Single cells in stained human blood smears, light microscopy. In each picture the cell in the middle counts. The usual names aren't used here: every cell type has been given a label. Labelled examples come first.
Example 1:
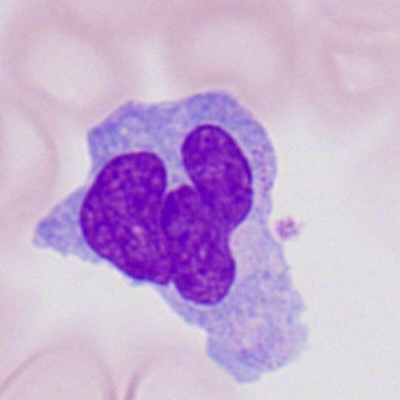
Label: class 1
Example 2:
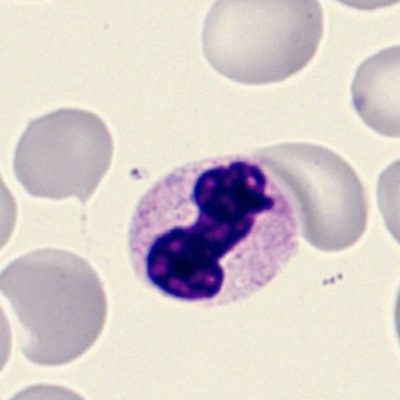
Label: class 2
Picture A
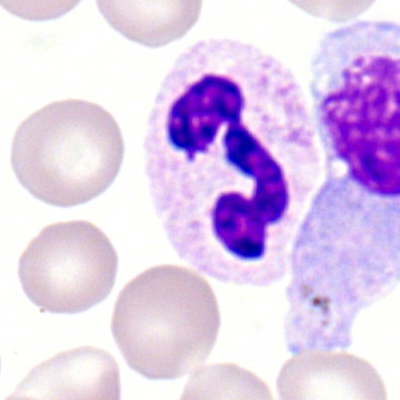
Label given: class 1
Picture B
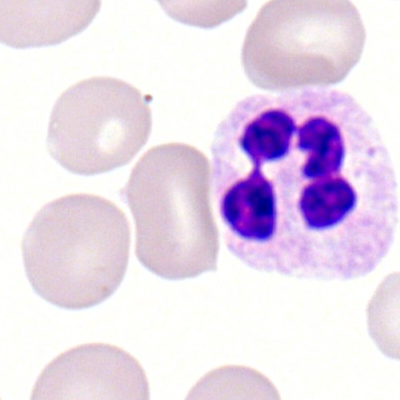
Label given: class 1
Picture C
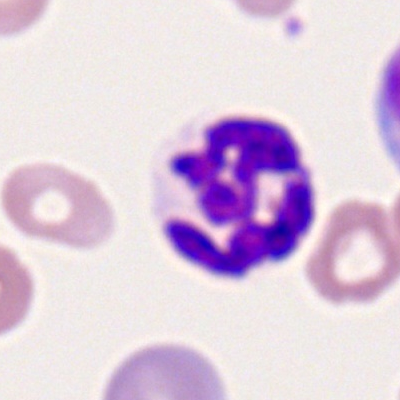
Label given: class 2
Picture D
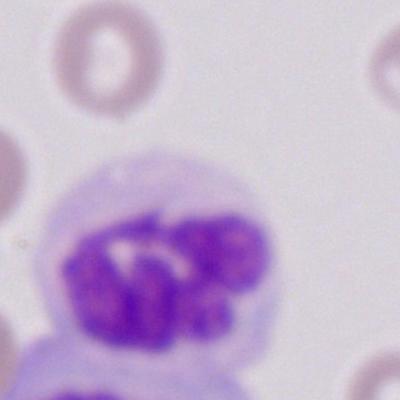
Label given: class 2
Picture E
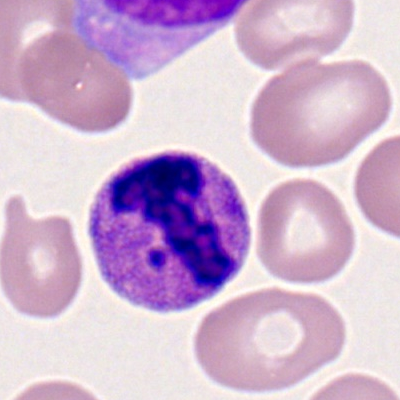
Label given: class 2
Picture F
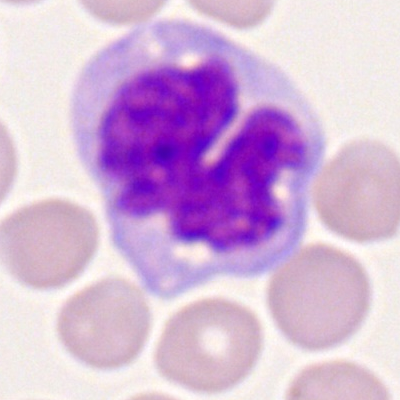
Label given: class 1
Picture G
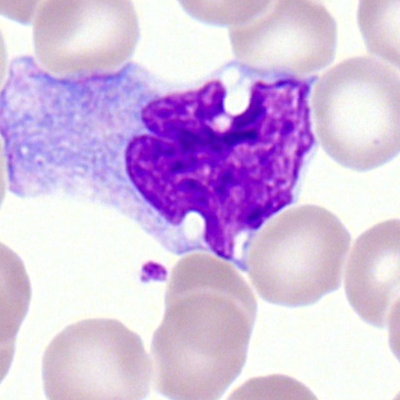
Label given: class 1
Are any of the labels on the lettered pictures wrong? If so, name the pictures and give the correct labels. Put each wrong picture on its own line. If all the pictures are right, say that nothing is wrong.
A: not class 1 but class 2
B: not class 1 but class 2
